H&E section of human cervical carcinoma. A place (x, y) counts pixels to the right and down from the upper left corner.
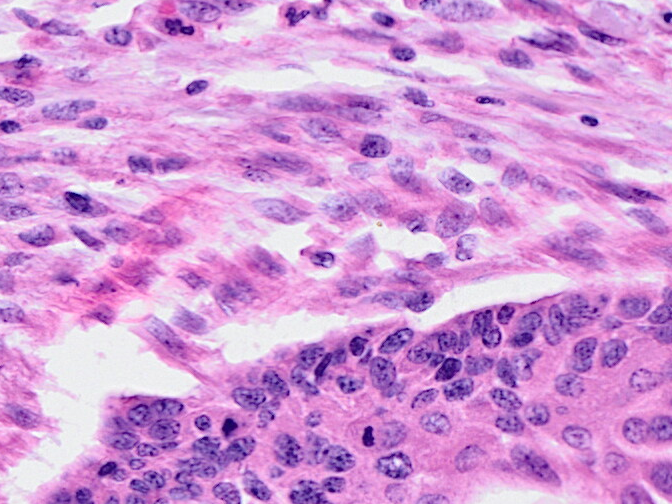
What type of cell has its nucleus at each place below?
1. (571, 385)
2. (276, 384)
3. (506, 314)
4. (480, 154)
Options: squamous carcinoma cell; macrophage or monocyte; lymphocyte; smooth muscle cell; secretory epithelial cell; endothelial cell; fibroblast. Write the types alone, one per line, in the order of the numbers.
squamous carcinoma cell
squamous carcinoma cell
squamous carcinoma cell
fibroblast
